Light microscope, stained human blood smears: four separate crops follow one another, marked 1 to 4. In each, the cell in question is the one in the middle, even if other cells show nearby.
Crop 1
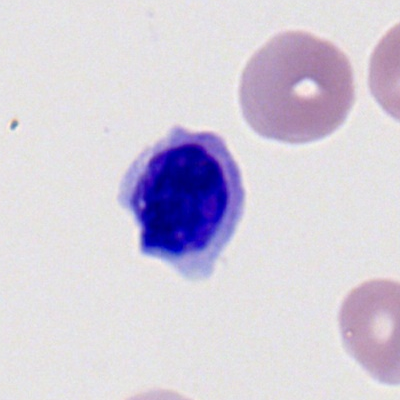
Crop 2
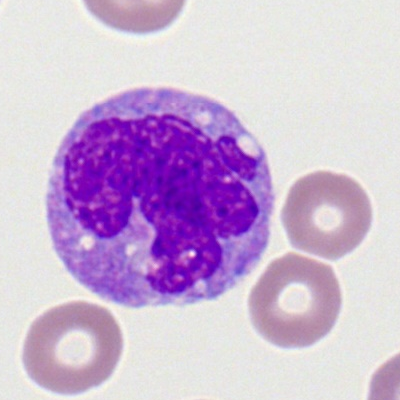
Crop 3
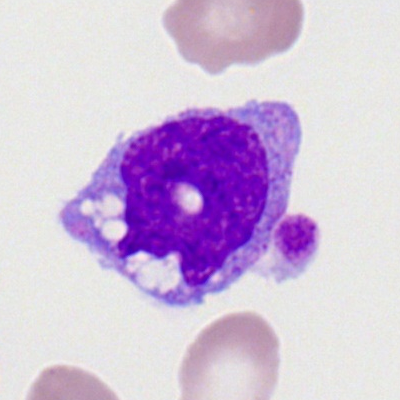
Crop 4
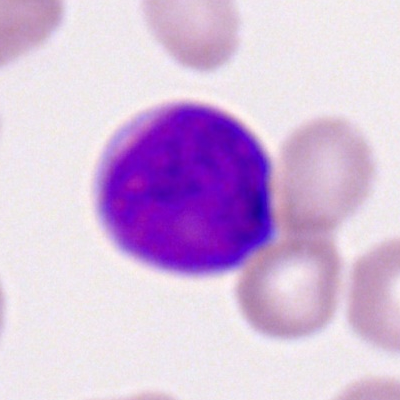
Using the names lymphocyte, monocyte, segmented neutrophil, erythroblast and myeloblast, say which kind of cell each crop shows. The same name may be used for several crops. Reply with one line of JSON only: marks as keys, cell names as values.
{"1": "erythroblast", "2": "monocyte", "3": "monocyte", "4": "myeloblast"}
